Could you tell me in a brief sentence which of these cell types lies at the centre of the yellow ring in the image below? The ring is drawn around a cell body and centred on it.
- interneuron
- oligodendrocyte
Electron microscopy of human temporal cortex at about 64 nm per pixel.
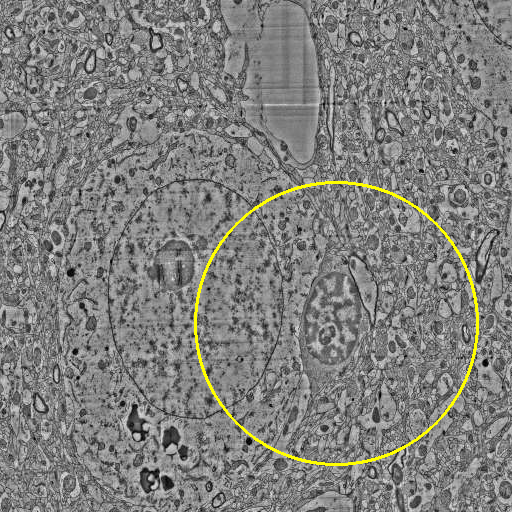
The cell centred in the ring is an oligodendrocyte.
